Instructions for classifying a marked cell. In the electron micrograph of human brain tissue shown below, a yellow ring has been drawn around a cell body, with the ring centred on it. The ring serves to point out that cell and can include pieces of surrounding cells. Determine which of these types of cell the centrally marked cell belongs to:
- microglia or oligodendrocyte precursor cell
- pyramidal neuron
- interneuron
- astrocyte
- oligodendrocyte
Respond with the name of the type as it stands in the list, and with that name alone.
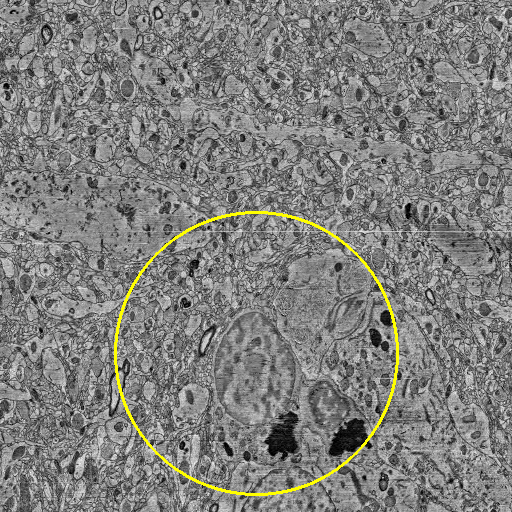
oligodendrocyte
